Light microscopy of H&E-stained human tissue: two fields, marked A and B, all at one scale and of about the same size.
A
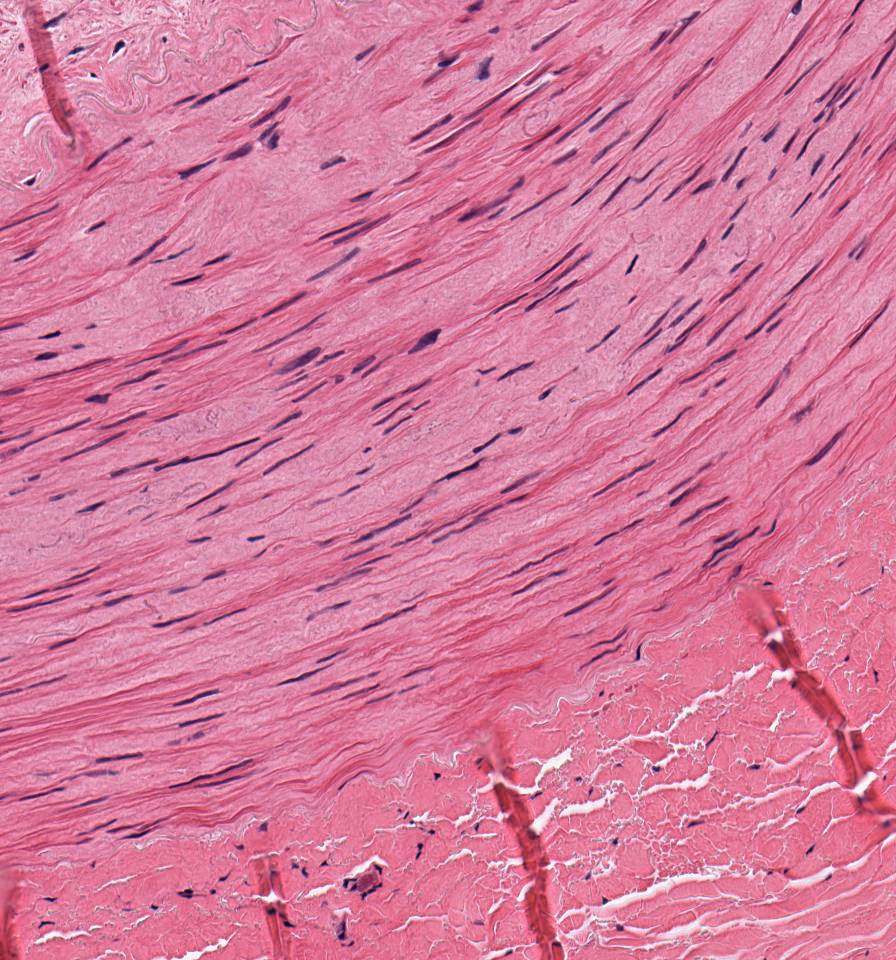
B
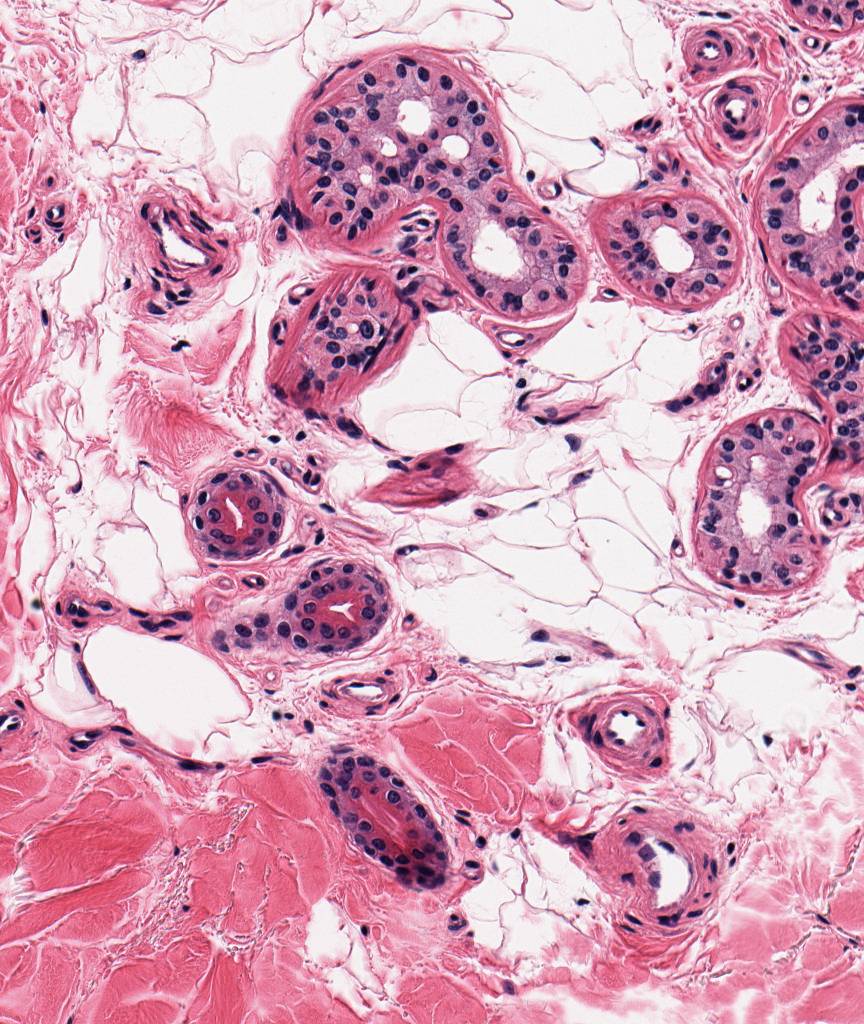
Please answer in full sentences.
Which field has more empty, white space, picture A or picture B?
Picture B has more white space.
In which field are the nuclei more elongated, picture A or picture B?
It is picture A whose nuclei are the more elongated.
